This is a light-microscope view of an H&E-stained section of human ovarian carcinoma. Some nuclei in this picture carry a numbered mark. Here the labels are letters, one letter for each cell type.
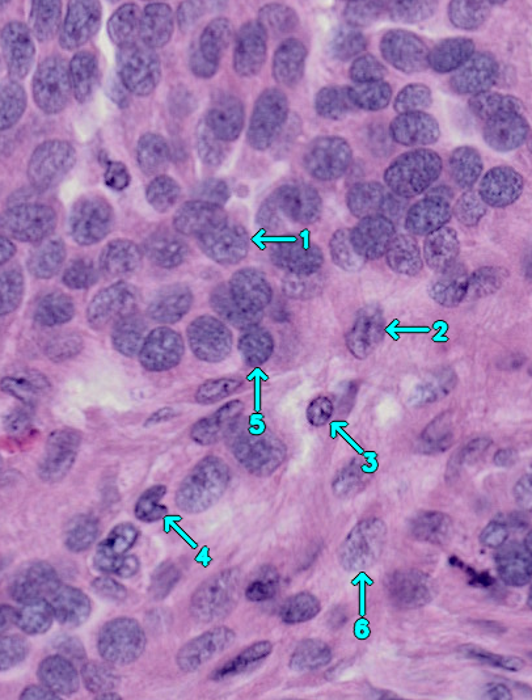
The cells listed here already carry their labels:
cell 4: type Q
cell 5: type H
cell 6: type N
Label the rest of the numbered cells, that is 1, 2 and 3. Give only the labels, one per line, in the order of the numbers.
type H
type N
type Q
